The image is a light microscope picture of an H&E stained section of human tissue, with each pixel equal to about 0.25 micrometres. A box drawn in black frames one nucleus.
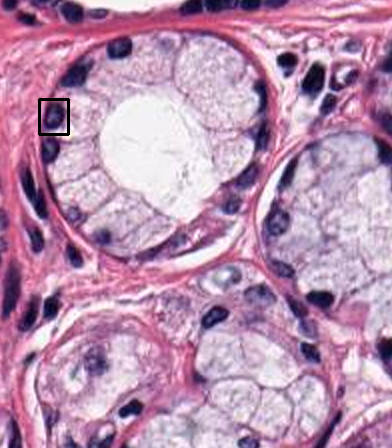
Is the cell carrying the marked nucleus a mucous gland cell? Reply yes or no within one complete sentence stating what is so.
Yes, it is a mucous gland cell to which the marked nucleus belongs.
